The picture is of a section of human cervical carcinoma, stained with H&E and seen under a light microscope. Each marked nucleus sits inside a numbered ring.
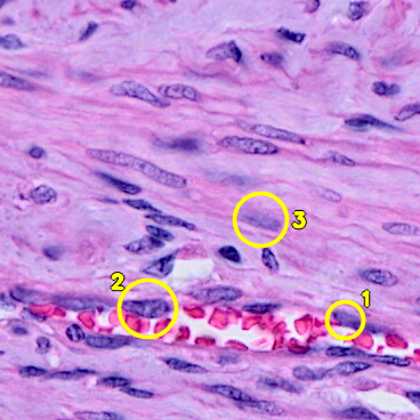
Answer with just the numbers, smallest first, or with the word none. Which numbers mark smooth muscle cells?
3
